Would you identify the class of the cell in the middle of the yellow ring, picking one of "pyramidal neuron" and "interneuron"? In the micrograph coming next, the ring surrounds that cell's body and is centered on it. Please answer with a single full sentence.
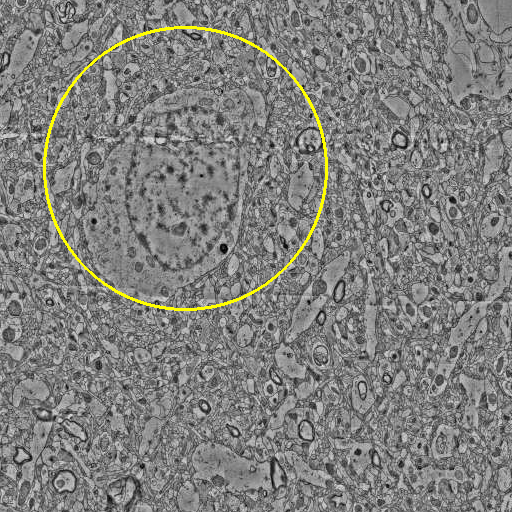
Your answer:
In the micrograph, it is an interneuron whose body lies at the ring's center.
